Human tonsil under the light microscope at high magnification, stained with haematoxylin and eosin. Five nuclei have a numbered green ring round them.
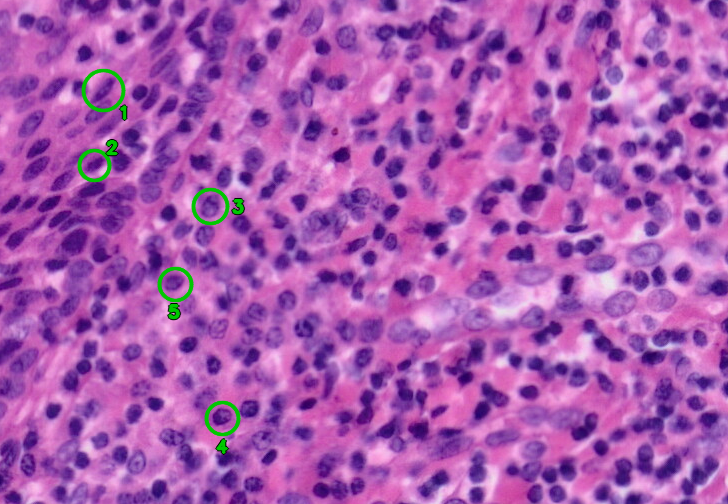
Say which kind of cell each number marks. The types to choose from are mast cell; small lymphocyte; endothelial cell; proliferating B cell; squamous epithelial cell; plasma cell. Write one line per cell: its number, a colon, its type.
1: squamous epithelial cell
2: squamous epithelial cell
3: plasma cell
4: plasma cell
5: plasma cell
